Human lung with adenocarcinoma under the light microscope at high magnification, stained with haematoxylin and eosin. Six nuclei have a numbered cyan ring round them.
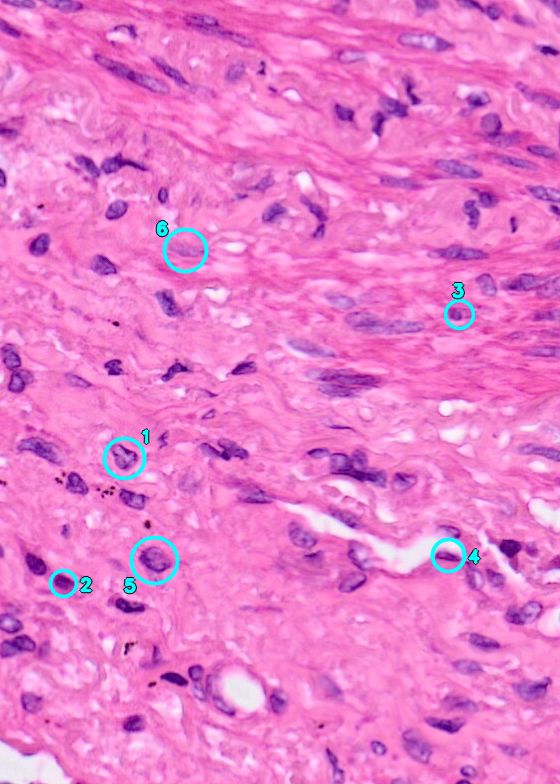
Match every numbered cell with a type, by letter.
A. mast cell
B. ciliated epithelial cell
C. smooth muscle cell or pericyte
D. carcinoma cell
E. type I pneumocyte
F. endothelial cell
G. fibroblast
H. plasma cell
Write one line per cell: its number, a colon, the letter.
1: G
2: H
3: C
4: F
5: G
6: C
